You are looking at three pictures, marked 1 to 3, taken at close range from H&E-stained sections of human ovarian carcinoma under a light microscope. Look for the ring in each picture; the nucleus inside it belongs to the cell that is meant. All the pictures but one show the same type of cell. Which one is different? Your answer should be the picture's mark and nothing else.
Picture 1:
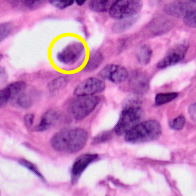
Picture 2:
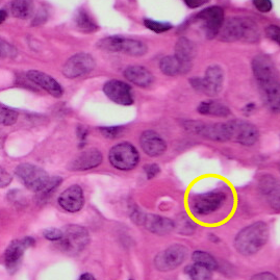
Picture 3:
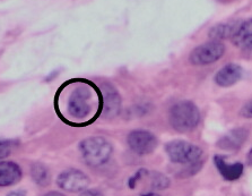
3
